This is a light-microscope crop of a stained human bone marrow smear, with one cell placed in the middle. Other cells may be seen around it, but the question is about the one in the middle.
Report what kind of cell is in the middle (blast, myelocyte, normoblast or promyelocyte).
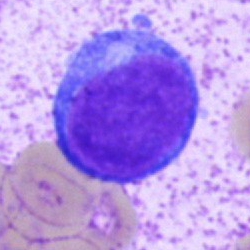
blast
